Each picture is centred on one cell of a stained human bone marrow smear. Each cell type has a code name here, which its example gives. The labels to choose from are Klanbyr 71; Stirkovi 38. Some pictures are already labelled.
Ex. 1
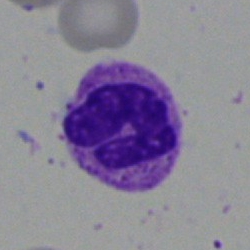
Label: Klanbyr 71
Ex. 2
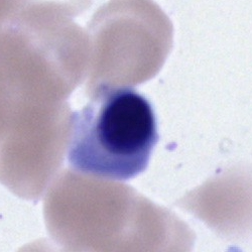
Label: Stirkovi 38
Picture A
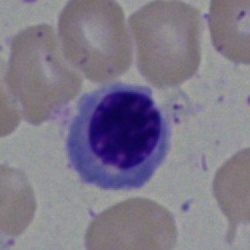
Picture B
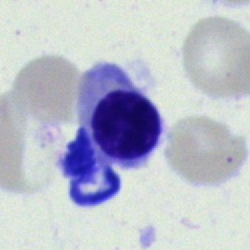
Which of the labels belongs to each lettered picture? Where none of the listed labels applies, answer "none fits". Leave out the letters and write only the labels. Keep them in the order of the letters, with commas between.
Stirkovi 38, Stirkovi 38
